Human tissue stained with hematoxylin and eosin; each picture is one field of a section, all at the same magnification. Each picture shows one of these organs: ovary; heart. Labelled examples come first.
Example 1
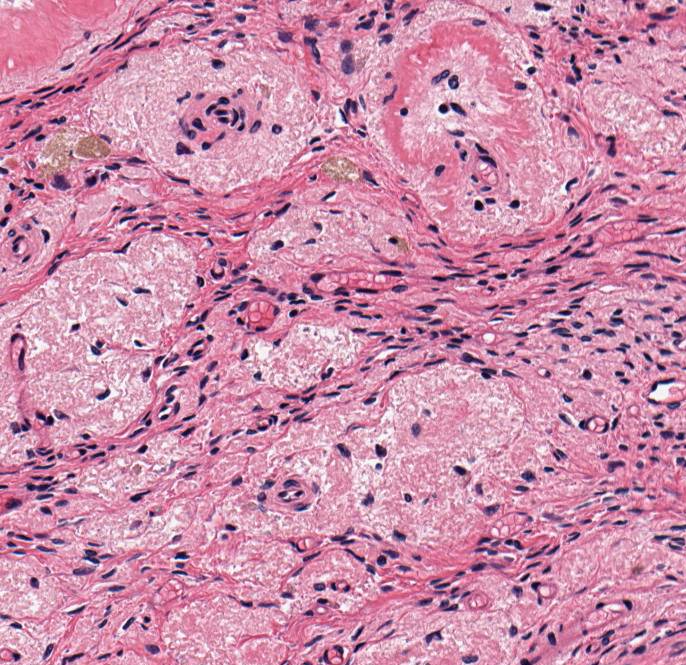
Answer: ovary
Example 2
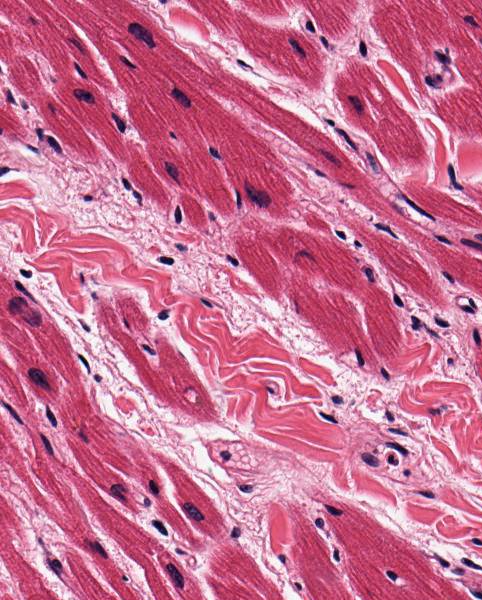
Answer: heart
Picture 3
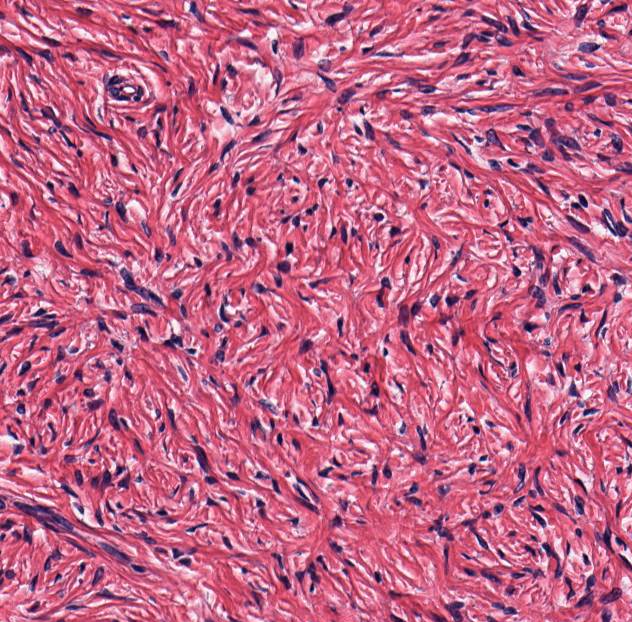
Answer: ovary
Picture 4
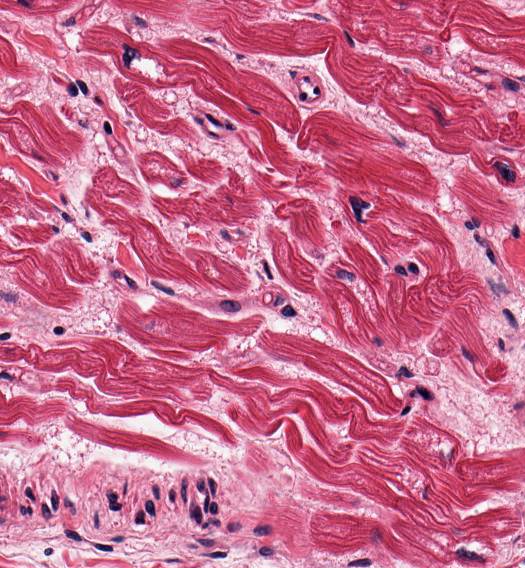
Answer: heart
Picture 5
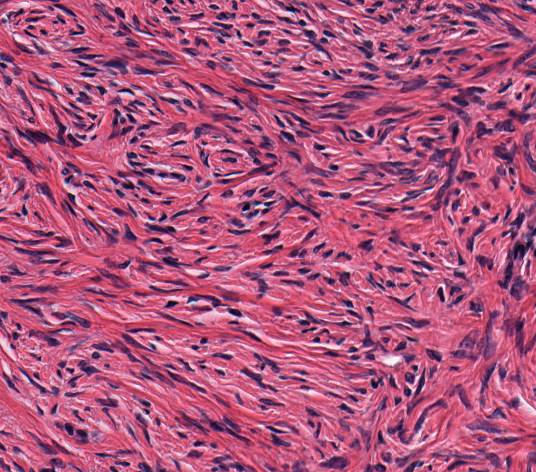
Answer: ovary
